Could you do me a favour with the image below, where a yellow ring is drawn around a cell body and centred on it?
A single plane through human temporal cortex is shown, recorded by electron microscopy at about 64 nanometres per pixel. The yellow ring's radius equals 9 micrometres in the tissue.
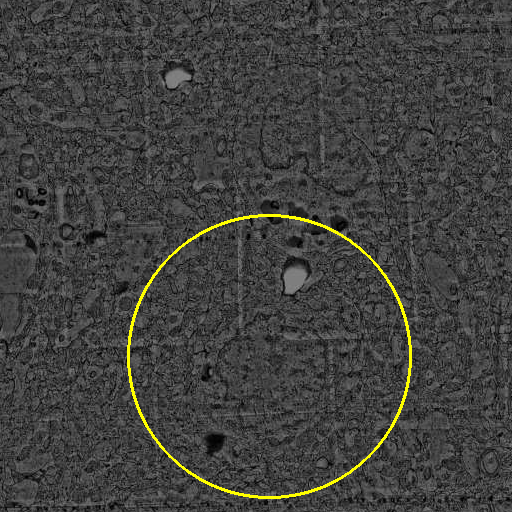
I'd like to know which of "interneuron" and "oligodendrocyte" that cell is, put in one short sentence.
The cell at the ring's centre is an interneuron.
